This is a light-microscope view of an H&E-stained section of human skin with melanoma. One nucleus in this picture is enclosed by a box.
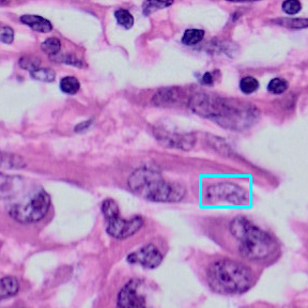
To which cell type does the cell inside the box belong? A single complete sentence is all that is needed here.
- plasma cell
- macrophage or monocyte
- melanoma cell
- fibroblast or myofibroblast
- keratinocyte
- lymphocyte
Typologically, the cell inside the box is a melanoma cell in this section.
